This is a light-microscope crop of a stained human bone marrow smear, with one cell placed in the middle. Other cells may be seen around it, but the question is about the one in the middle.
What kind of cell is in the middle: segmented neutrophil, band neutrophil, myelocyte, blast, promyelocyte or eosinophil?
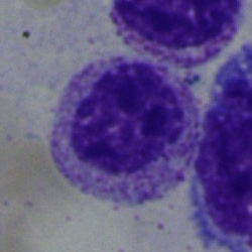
myelocyte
